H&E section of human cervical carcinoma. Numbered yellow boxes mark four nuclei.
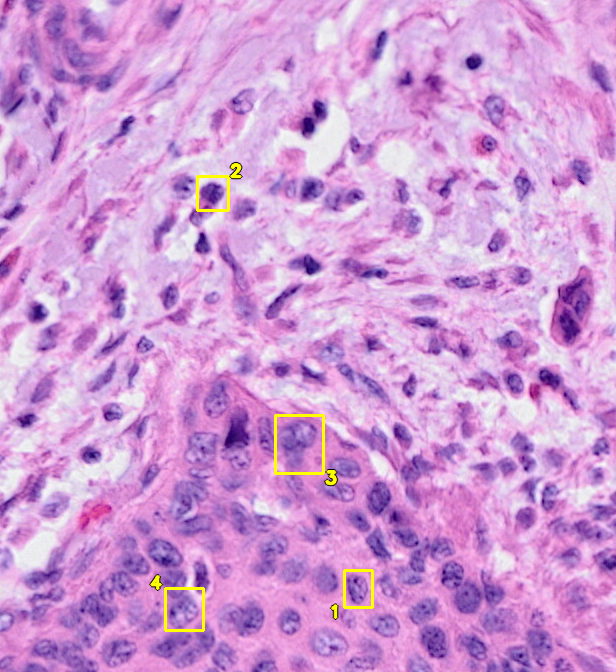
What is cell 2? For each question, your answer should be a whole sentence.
In this section, number 2 marks a lymphocyte.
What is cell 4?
The cell bearing label 4 corresponds to a squamous carcinoma cell.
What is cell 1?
The numbered cell 1 is identified here as a squamous carcinoma cell.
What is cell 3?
Among the marked cells, number 3 is a squamous carcinoma cell.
